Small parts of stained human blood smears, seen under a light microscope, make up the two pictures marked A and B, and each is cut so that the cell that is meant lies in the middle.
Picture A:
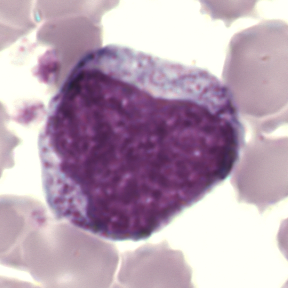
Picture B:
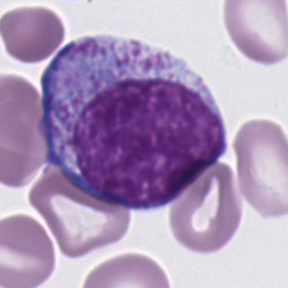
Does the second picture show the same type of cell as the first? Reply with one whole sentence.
Yes, both are promyelocytes.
